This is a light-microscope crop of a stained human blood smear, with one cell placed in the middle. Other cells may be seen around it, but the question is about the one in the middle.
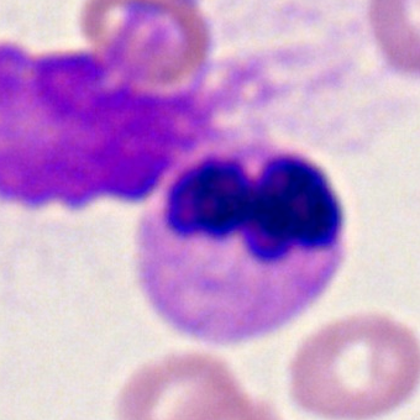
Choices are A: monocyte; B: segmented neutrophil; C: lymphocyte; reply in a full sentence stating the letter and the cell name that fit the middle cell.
Option B holds up: the cell in the middle is a segmented neutrophil.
